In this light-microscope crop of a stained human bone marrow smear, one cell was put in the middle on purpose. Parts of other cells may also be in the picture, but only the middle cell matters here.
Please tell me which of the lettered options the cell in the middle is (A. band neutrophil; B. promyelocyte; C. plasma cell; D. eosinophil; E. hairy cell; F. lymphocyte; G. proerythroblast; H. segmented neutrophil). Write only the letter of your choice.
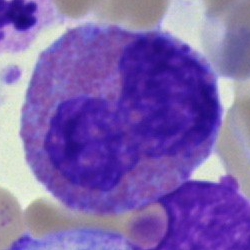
D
